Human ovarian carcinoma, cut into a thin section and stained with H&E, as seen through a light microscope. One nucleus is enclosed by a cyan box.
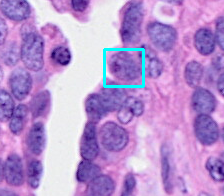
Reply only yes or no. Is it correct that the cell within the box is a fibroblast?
no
